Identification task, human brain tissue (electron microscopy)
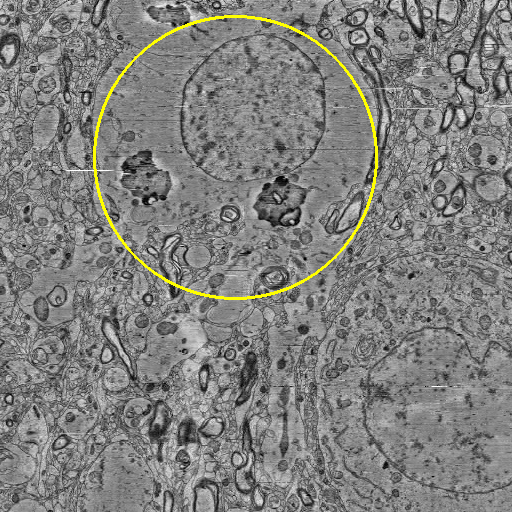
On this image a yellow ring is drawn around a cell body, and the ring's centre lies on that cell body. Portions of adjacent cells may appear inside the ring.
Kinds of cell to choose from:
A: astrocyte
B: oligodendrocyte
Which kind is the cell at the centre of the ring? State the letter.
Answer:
A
